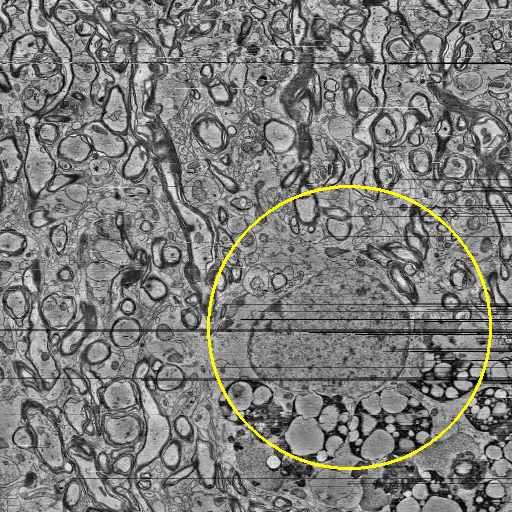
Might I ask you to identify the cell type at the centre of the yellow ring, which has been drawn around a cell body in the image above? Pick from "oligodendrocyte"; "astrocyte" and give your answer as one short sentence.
The centre of the ring falls on an astrocyte.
